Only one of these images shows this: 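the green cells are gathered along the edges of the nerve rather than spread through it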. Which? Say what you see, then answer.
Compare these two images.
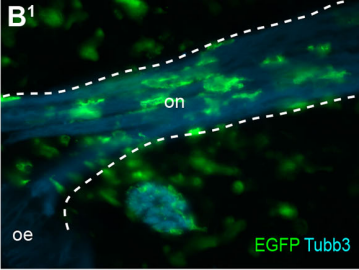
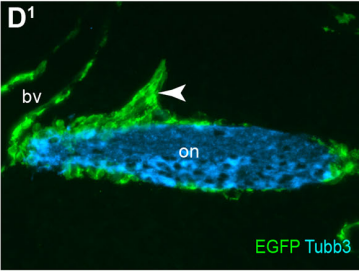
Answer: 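First image: green cells are scattered within the blue nerve bundle as well as around it. That points to this answer: the second image.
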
